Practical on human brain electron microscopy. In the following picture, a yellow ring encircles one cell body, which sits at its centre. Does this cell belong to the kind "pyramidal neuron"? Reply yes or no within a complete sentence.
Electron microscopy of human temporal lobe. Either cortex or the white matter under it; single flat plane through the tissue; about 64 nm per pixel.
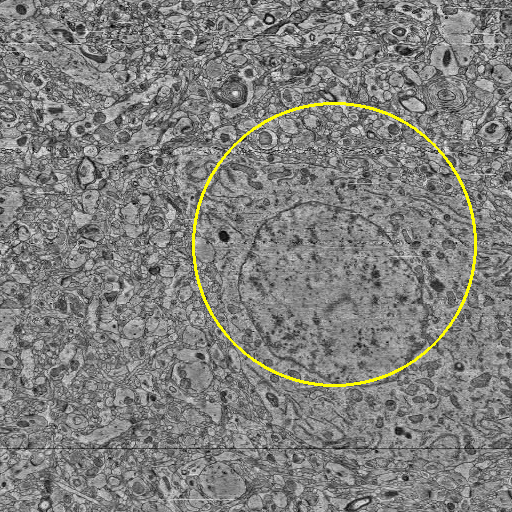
No, the cell lying within the ring at its centre is another kind.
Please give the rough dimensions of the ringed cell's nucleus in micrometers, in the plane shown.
In this plane the nucleus spans approximately 13 by 10 micrometers.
